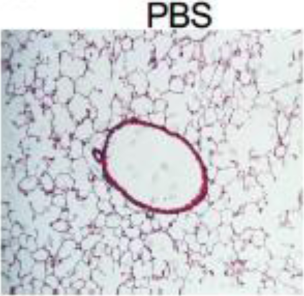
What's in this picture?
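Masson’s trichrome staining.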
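This is normal lung tissue with a single airway in the centre. The airway is round, with a thin, continuous red-stained wall and an empty lumen. A small vessel lies beside it. The surrounding parenchyma is made of many open air spaces separated by thin, delicate pinkish-purple septa, forming an even lace-like network across the whole field. Blue-staining fibres are scarcely seen, and the tissue around the airway is not thickened or consolidated.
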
